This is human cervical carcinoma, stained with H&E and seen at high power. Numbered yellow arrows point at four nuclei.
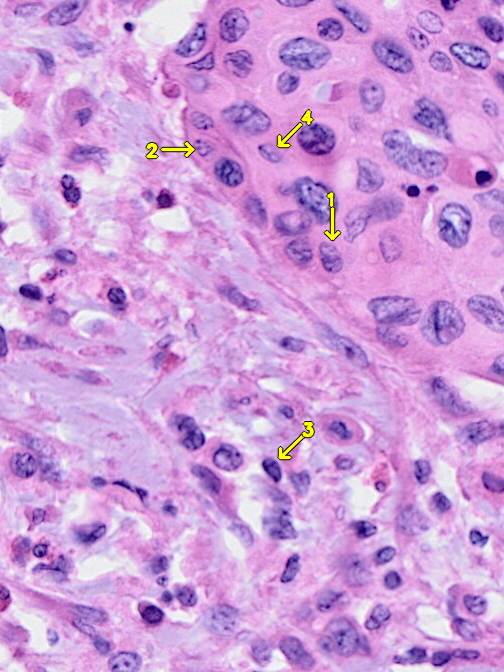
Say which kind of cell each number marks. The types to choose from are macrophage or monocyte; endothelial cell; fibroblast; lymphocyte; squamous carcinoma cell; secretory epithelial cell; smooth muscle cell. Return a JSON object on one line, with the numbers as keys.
{"1": "squamous carcinoma cell", "2": "squamous carcinoma cell", "3": "lymphocyte", "4": "squamous carcinoma cell"}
